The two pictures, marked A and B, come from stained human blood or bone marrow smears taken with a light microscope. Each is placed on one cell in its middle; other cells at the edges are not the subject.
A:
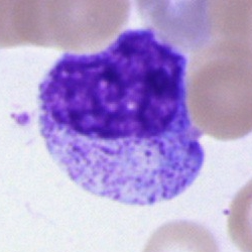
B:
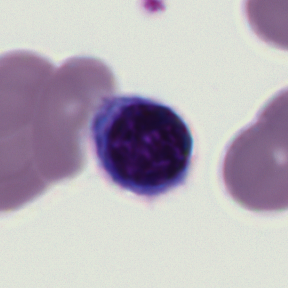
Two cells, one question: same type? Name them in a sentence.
No, a promyelocyte lies at the centre of crop A, and a plasma cell lies at the centre of crop B.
